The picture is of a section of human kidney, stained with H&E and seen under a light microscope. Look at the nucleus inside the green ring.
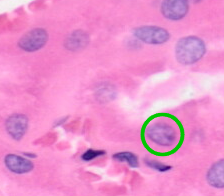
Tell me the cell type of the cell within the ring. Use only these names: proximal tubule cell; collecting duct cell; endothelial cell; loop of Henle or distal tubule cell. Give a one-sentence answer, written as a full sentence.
In cellular terms, the cell within the ring is a proximal tubule cell.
